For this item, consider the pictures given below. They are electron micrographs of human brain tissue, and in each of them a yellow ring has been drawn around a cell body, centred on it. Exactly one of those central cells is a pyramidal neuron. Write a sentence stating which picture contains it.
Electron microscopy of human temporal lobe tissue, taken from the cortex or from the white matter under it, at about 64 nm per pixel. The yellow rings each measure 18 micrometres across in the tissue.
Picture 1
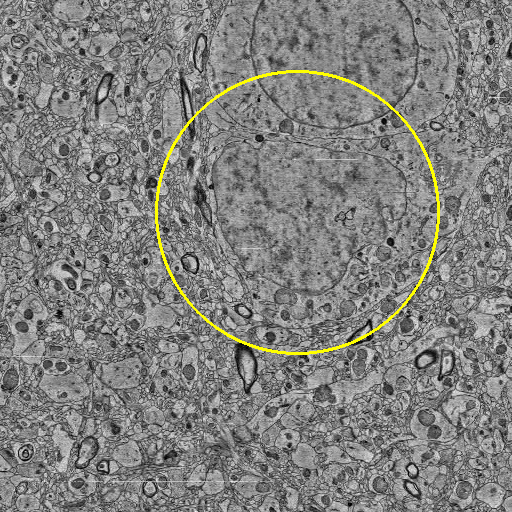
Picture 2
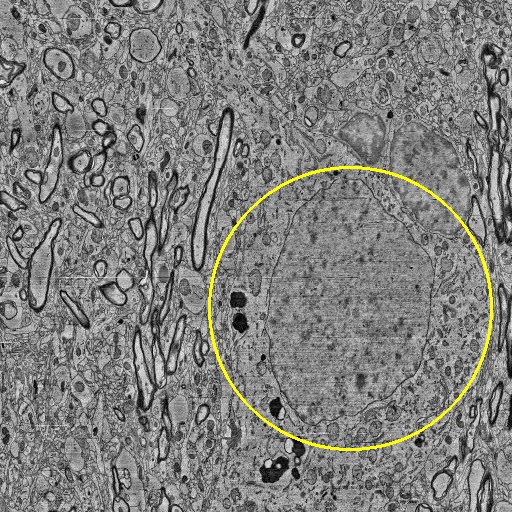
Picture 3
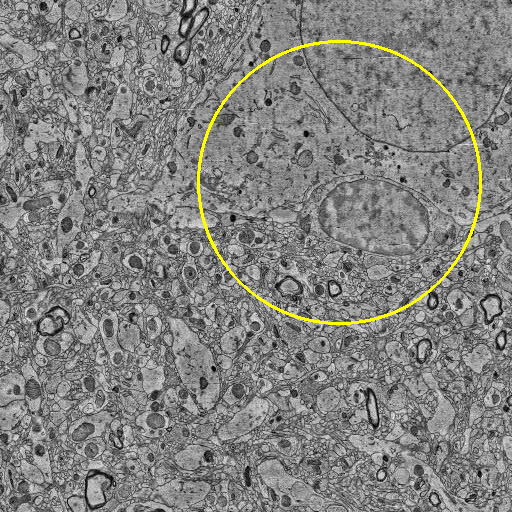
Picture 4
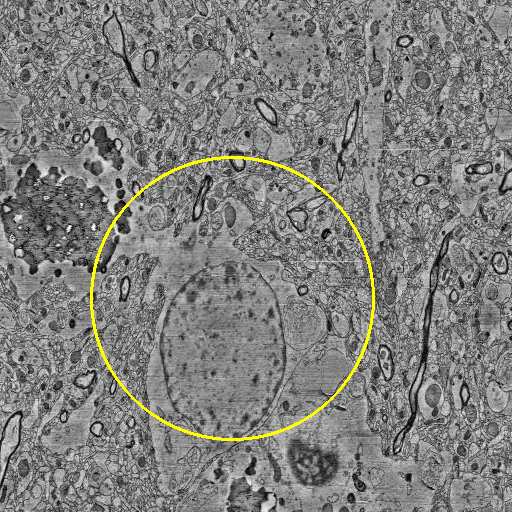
It is in Picture 2.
